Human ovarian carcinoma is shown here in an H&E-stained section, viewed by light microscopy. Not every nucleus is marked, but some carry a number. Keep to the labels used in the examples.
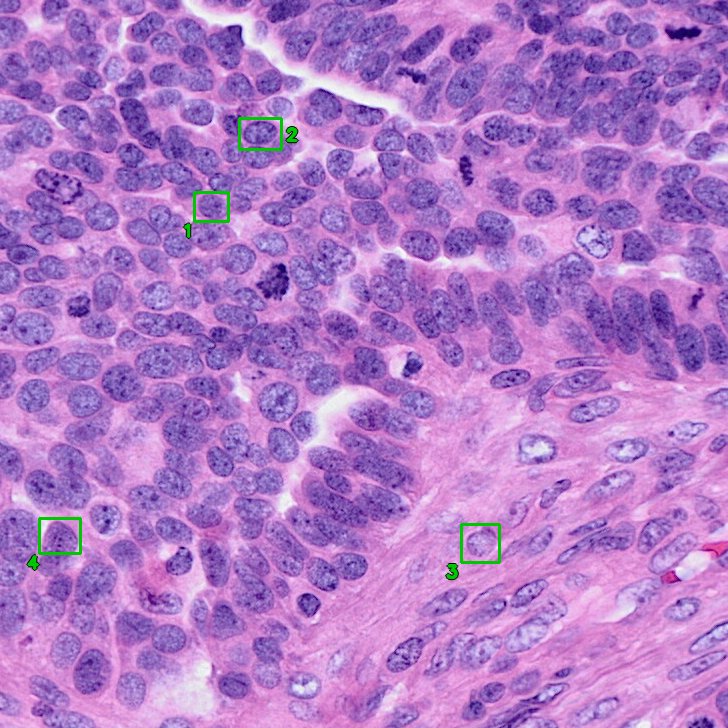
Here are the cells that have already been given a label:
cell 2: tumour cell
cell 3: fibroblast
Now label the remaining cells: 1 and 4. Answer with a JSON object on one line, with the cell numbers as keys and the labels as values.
{"1": "tumour cell", "4": "tumour cell"}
